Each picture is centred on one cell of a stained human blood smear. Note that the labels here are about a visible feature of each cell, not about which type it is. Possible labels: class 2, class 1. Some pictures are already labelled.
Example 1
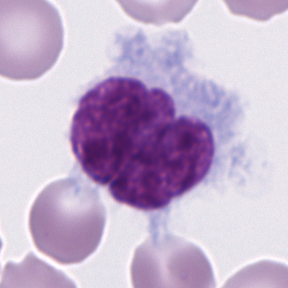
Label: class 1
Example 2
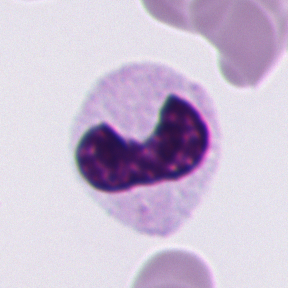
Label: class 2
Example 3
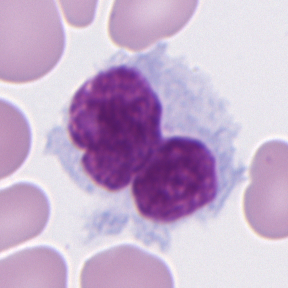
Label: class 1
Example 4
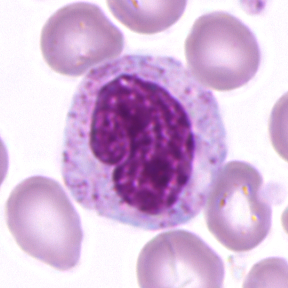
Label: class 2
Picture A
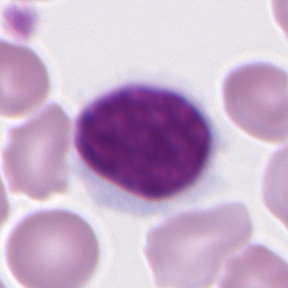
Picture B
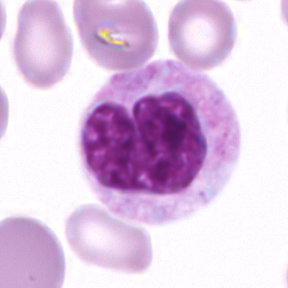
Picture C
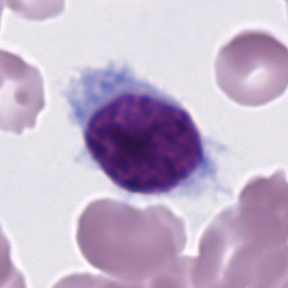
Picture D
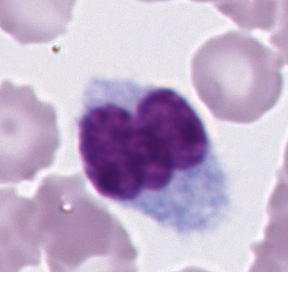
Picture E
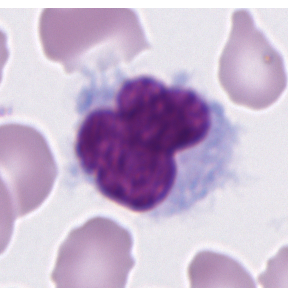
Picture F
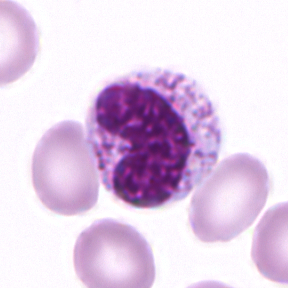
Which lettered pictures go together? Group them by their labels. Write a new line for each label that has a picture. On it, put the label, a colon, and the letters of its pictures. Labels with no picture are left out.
class 2: A, C, F
class 1: B, D, E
